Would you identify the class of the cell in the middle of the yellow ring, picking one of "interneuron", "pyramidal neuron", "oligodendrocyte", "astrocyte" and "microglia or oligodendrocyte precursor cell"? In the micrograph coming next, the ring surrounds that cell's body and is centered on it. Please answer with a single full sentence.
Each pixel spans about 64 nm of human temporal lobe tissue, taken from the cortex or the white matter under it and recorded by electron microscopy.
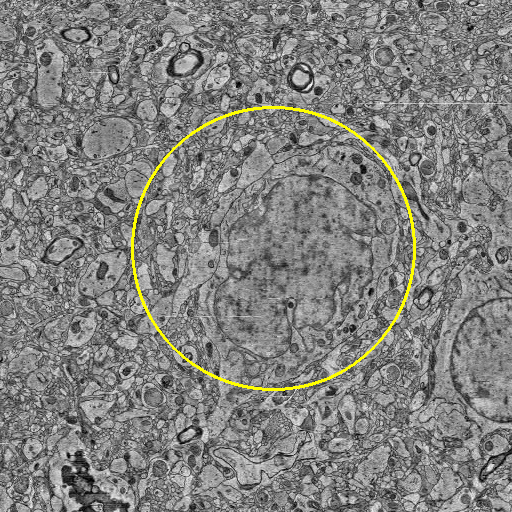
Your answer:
In the micrograph, it is an interneuron whose body lies at the ring's center.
